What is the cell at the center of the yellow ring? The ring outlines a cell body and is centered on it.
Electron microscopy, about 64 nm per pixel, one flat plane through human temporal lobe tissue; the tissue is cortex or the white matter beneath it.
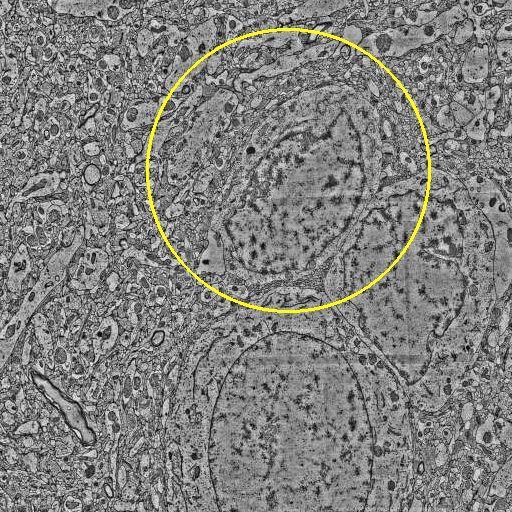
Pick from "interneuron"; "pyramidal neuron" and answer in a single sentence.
The yellow ring is centered on an interneuron.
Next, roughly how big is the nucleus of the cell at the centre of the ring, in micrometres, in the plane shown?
About 12 by 7 micrometres; in this plane the nucleus is clearly longer than it is wide.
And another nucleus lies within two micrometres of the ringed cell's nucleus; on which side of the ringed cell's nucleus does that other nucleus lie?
The other nucleus is situated to the lower right of it.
